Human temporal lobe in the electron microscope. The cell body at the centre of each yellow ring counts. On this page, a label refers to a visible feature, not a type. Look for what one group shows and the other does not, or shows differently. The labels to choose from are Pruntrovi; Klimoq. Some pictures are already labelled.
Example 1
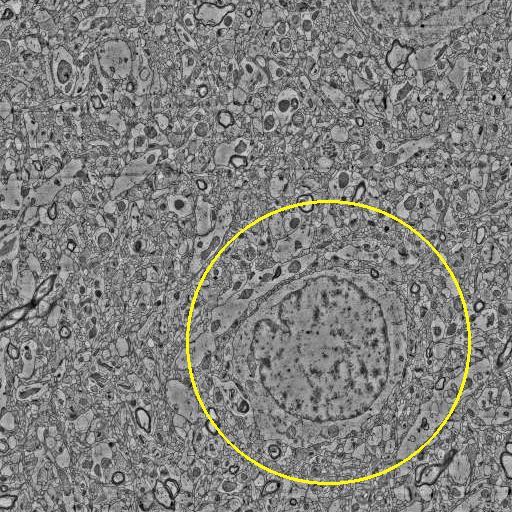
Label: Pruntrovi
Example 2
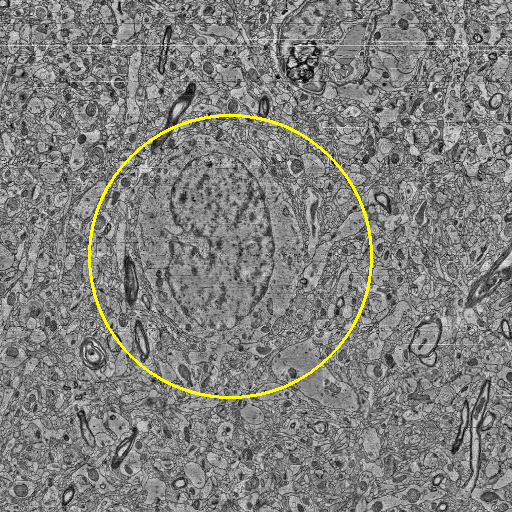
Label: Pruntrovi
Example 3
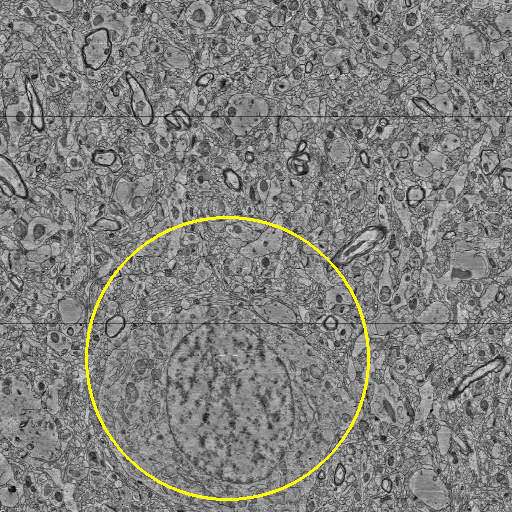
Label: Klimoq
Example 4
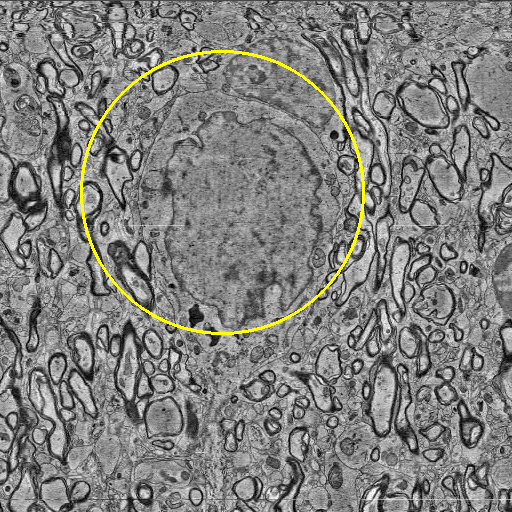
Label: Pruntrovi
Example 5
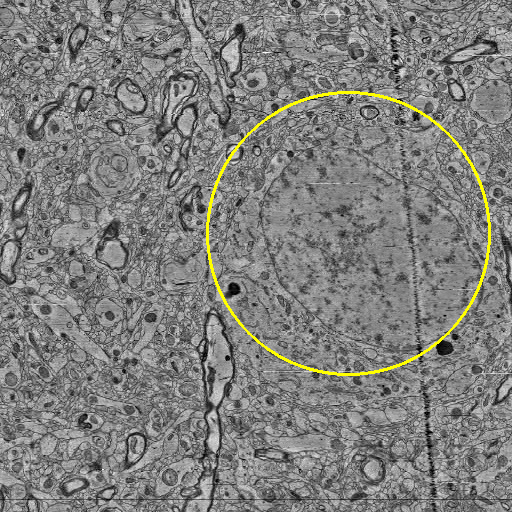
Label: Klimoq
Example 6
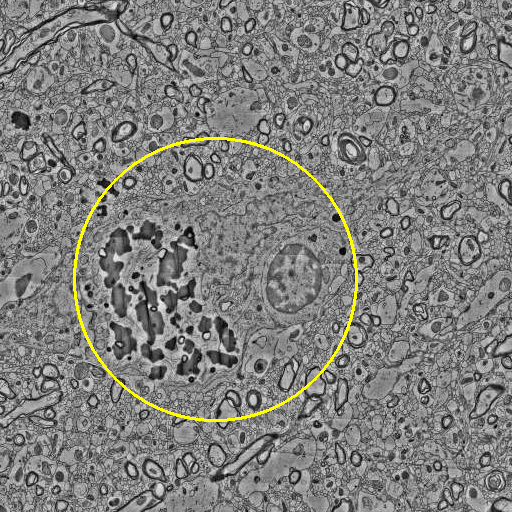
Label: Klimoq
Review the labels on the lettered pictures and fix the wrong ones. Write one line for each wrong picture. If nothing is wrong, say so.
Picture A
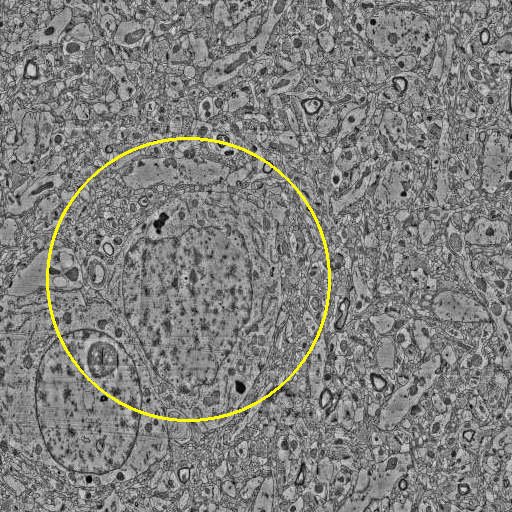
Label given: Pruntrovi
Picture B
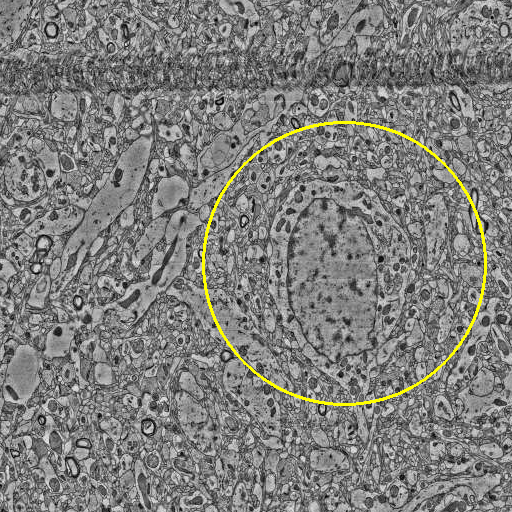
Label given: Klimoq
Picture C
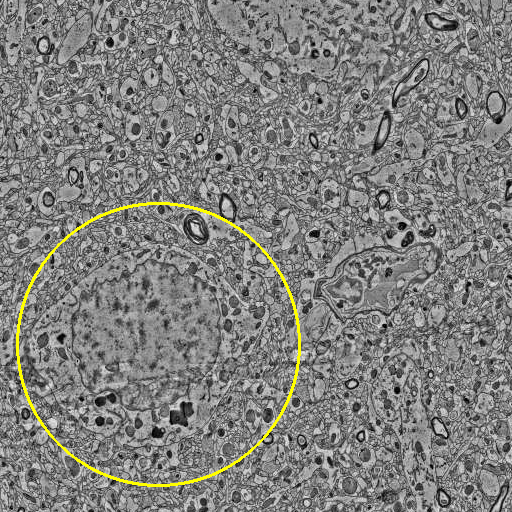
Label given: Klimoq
A: not Pruntrovi but Klimoq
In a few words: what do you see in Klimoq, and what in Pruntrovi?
Klimoq, smooth nuclear envelopes without deep folds; Pruntrovi, deeply folded or indented nuclear envelopes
